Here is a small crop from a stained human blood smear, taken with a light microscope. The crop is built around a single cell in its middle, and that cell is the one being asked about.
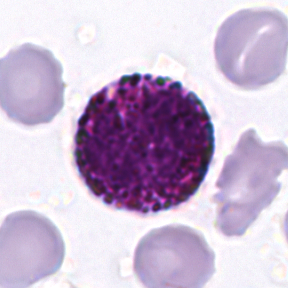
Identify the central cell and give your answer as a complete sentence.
In the central position of this crop, the cell is a basophil.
